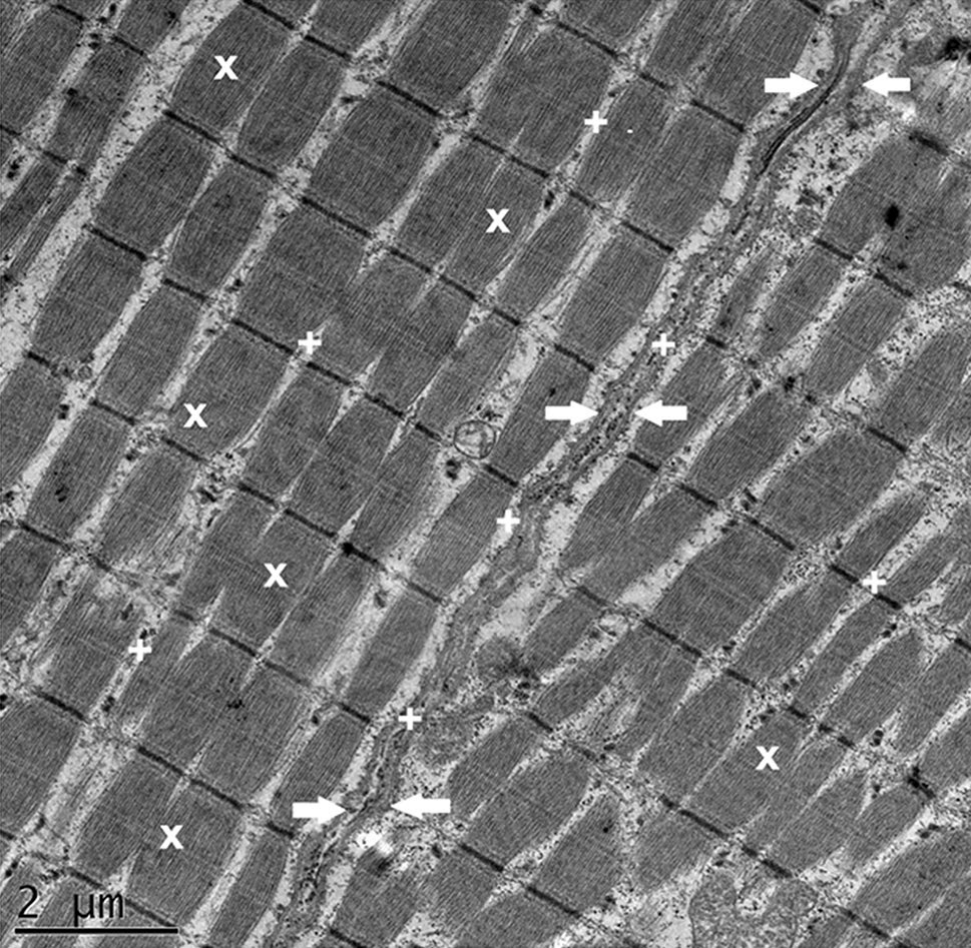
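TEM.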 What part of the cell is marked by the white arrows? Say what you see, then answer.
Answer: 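Paired arrows point at a thin line running between two groups of striated bundles. The line marks a narrow boundary where two regions meet closely.
Approximating cells phospholipid membranes.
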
